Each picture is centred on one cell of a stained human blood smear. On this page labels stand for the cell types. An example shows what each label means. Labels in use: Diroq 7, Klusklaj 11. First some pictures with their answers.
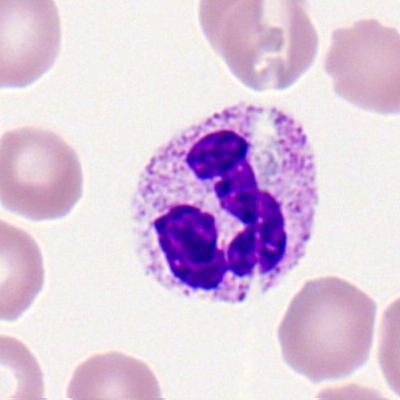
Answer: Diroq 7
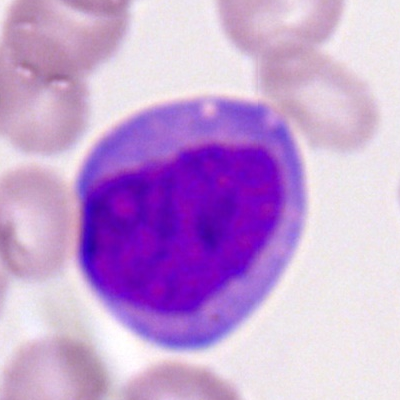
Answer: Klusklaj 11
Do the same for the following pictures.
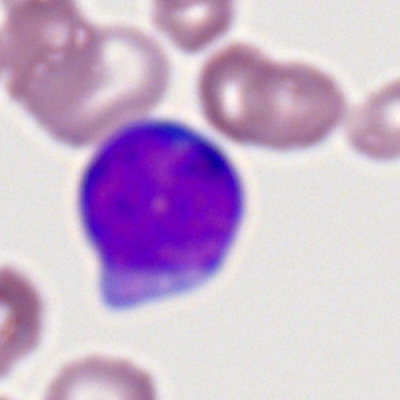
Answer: Klusklaj 11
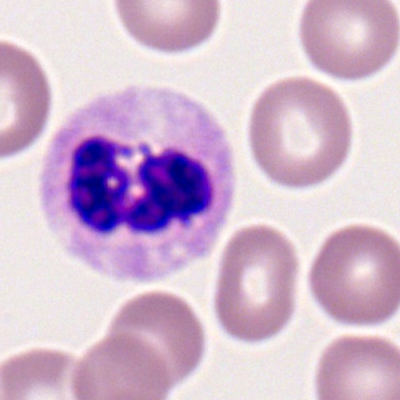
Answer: Diroq 7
